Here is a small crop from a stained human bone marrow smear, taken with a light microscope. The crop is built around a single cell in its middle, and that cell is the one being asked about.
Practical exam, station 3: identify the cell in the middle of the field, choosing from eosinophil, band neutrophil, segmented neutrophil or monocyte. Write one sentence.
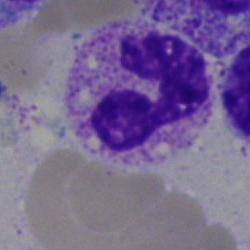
The cell at the heart of this crop is a segmented neutrophil.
